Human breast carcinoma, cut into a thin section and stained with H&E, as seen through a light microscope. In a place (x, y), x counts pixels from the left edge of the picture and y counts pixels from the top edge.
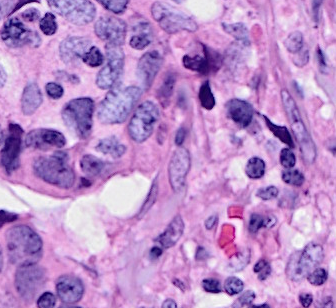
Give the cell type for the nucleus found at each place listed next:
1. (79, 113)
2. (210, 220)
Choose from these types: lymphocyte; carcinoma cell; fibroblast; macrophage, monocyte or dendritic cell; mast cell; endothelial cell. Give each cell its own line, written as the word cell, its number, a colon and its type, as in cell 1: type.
cell 1: carcinoma cell
cell 2: endothelial cell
